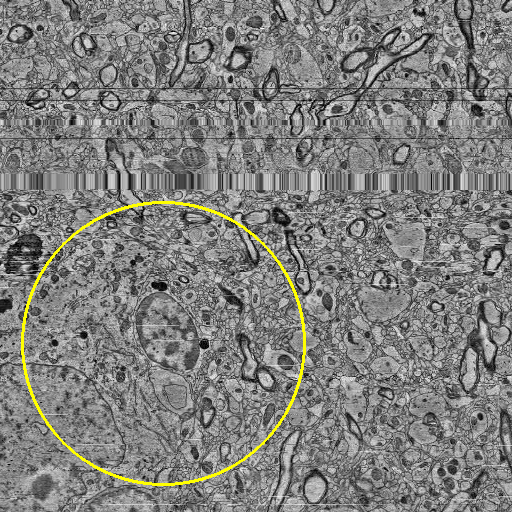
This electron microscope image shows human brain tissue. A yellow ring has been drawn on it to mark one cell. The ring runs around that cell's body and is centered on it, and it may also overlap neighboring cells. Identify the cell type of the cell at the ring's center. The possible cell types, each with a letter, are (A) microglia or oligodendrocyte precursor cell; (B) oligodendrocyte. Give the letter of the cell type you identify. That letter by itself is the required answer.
A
